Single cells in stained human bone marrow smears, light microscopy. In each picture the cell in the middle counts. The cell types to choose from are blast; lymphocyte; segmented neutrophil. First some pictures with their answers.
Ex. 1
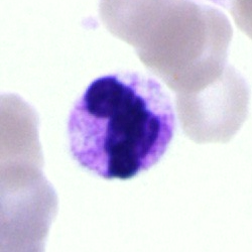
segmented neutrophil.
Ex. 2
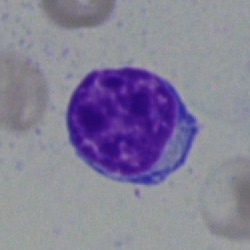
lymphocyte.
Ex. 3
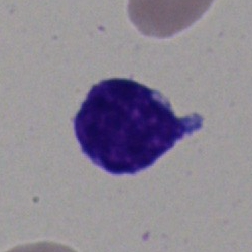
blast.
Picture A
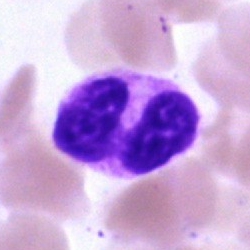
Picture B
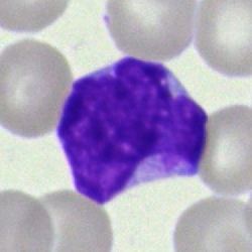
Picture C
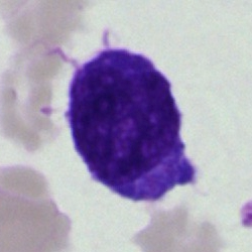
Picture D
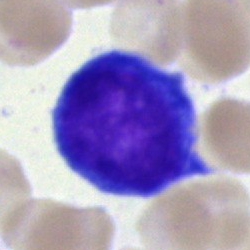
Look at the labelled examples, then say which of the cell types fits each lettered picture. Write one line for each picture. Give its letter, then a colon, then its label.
A: segmented neutrophil.
B: blast.
C: blast.
D: blast.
